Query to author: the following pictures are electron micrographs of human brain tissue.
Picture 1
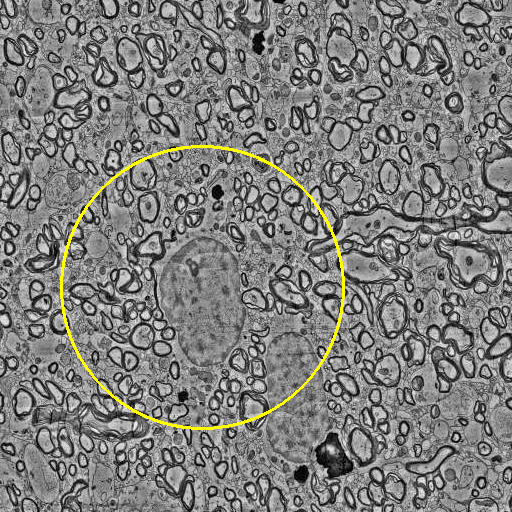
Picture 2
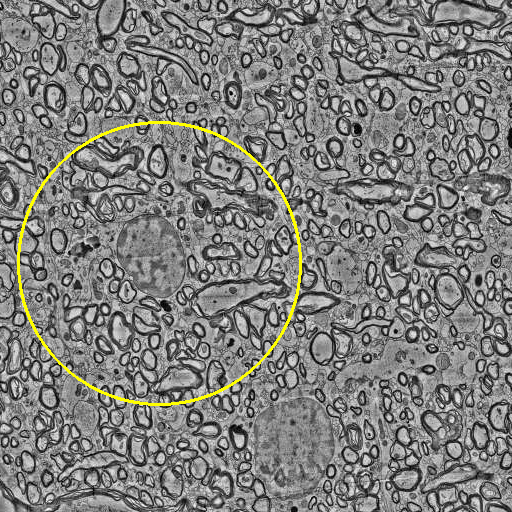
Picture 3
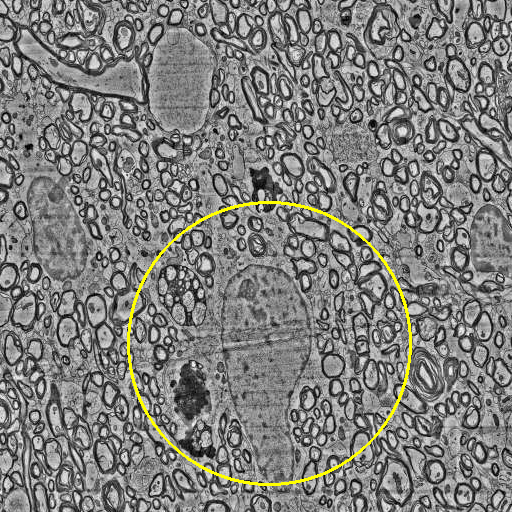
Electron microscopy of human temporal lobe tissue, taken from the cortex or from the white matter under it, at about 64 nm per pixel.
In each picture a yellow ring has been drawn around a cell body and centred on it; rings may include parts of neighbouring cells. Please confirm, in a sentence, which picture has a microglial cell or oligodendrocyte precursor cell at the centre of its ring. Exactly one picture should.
Picture 2 has it at the centre of its ring.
